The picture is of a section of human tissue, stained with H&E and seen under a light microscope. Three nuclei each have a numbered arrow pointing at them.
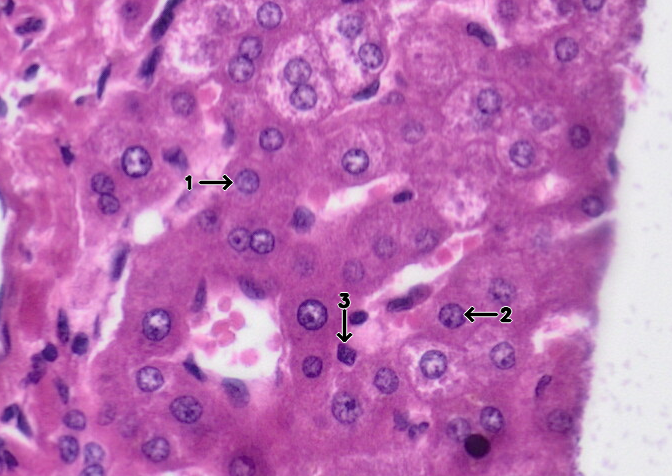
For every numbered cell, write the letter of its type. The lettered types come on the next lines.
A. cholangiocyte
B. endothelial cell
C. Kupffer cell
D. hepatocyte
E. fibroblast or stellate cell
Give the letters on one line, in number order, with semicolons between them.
D; D; E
